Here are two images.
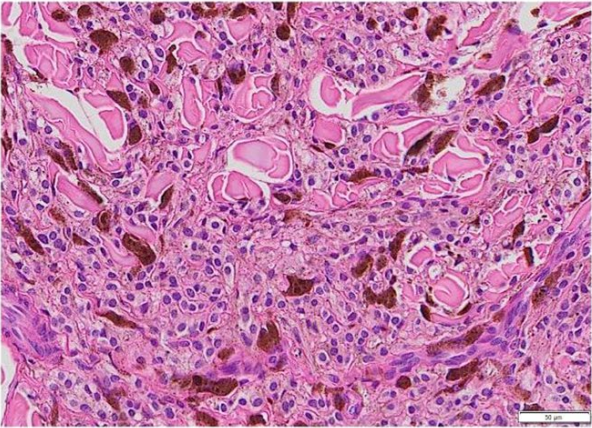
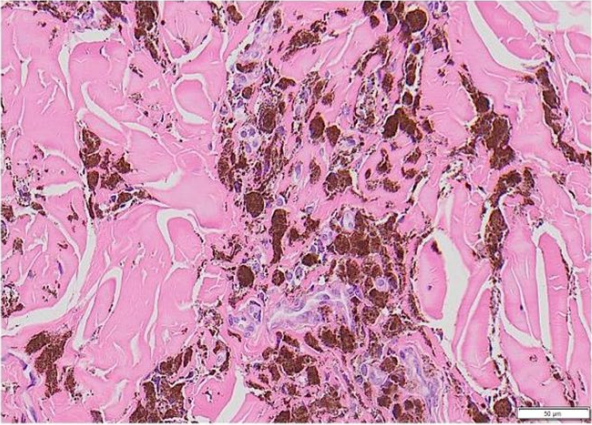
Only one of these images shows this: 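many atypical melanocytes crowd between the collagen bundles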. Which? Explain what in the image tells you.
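Second image: broad pink collagen bundles dominate, with brown pigment clumps and few nucleated cells. First image: dense sheets of cells with round purple nuclei fill the spaces between collagen bundles.
Conclusion: the first image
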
